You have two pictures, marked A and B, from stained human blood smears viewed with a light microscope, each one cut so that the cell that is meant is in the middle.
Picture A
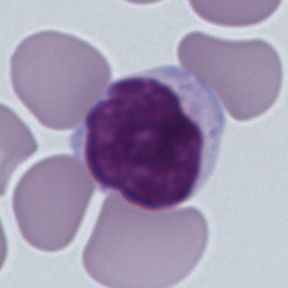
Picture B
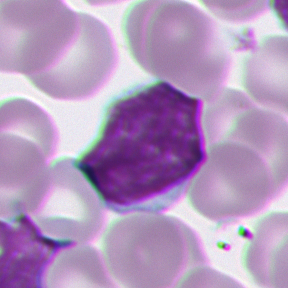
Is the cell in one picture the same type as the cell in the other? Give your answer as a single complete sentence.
Yes, the two pictures both show typical lymphocytes.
